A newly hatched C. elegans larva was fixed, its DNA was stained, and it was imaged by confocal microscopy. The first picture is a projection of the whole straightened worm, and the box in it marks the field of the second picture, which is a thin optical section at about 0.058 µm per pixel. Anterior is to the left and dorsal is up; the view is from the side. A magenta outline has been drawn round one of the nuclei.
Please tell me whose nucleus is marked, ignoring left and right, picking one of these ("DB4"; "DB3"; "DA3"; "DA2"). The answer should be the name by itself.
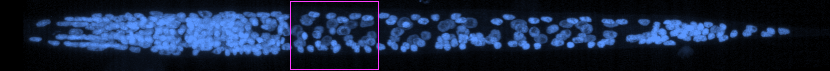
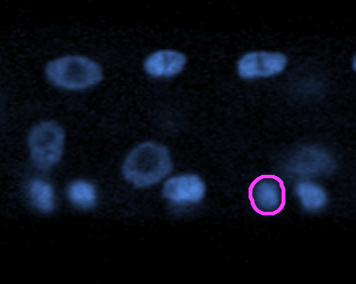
DA3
